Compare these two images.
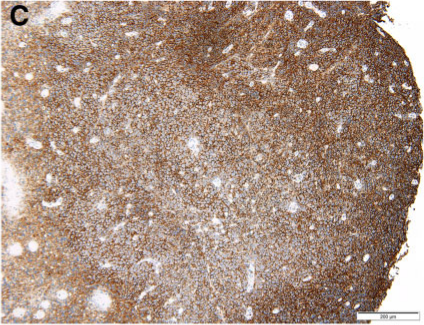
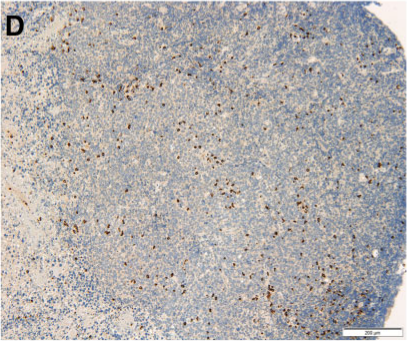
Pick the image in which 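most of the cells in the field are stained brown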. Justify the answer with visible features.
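The first image. Second image: the field is mostly blue with only scattered brown dots. First image: a dense brown stain covers nearly the whole field.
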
